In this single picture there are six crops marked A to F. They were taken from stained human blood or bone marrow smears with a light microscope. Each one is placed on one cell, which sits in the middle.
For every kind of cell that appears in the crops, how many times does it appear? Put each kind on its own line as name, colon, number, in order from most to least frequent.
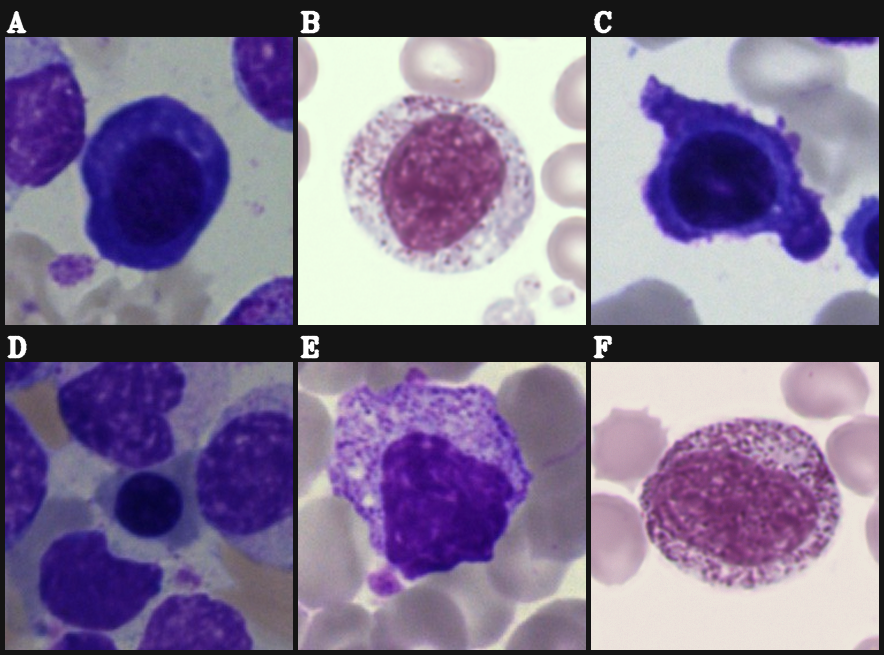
myelocyte: 3
plasma cell: 2
erythroblast: 1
